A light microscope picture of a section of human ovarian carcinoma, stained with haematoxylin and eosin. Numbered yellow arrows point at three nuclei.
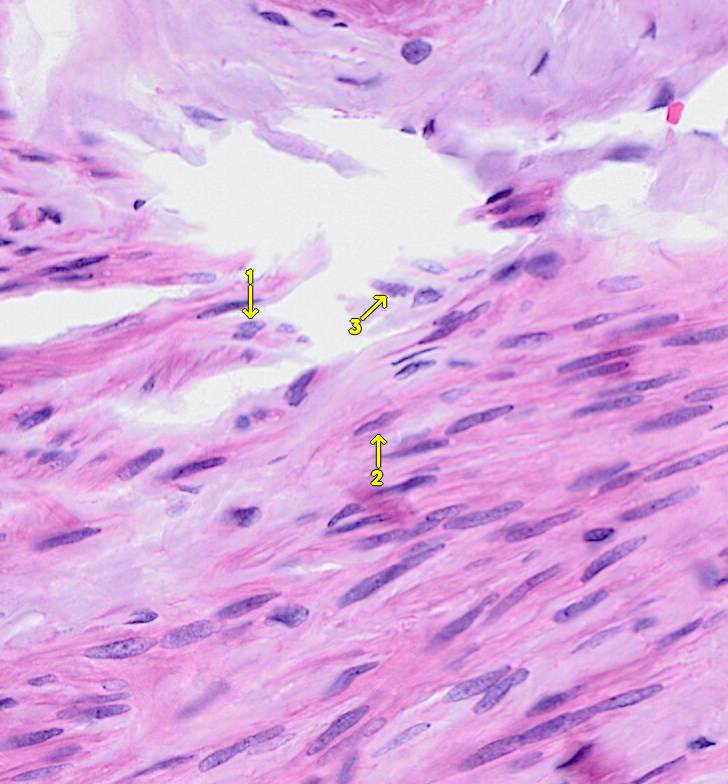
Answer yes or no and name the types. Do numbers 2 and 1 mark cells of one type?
Yes, the cell labelled 2 and the cell labelled 1 are both smooth muscle cells.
